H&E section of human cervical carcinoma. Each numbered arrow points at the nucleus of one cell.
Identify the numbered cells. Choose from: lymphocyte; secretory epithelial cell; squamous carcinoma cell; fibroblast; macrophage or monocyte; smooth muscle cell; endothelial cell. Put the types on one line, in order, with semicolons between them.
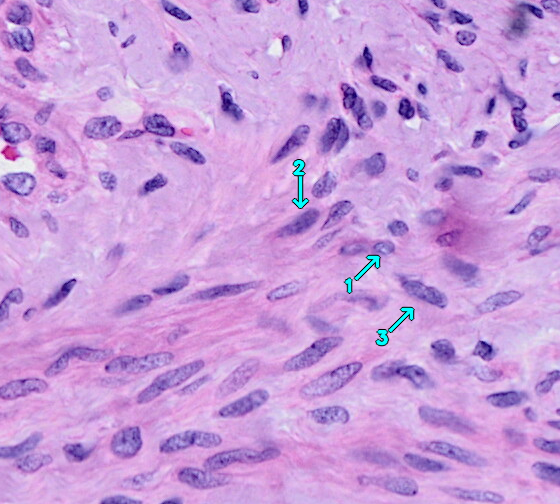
smooth muscle cell; fibroblast; fibroblast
